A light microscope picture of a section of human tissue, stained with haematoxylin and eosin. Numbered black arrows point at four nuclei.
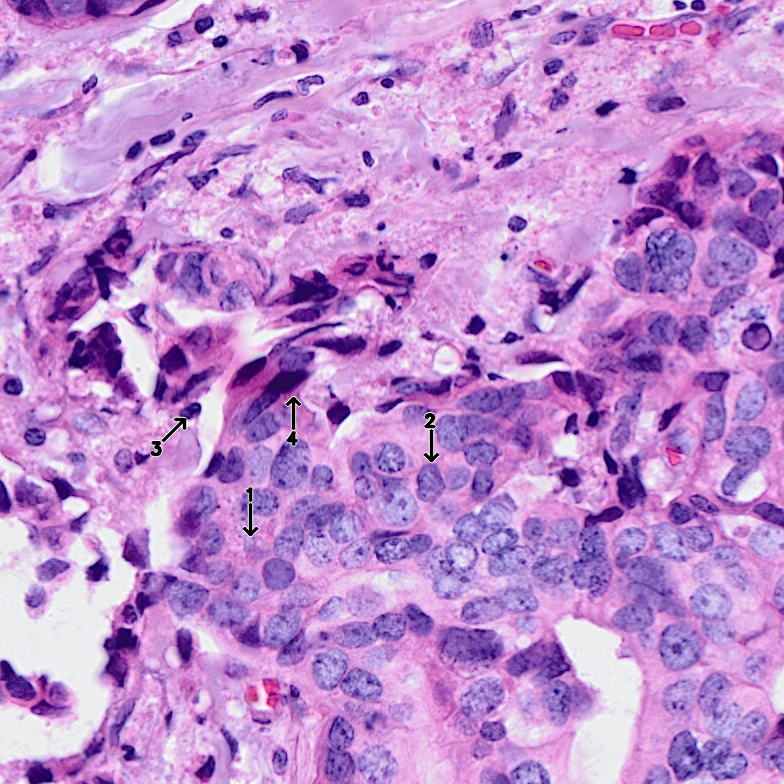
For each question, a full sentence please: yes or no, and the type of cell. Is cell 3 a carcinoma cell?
No, the nucleus numbered 3 belongs to a lymphocyte, not a carcinoma cell.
